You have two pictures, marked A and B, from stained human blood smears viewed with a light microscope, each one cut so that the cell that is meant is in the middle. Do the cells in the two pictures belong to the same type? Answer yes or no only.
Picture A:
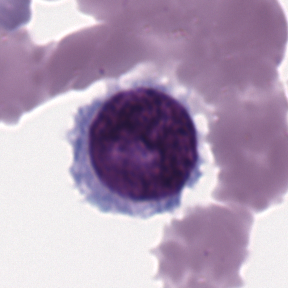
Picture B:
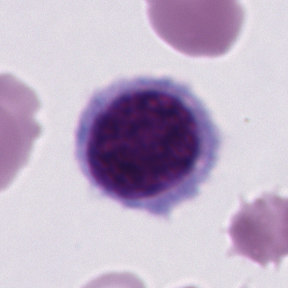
yes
